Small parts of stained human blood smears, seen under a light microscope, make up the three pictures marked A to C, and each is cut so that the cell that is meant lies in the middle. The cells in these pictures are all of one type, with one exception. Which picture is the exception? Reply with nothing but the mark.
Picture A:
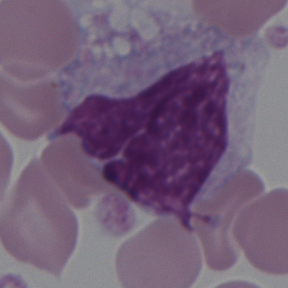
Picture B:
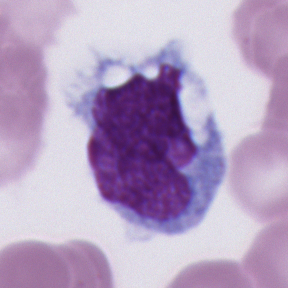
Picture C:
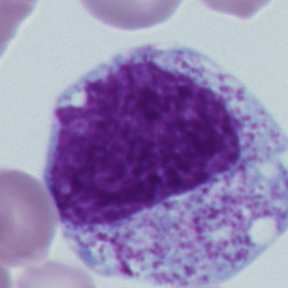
C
